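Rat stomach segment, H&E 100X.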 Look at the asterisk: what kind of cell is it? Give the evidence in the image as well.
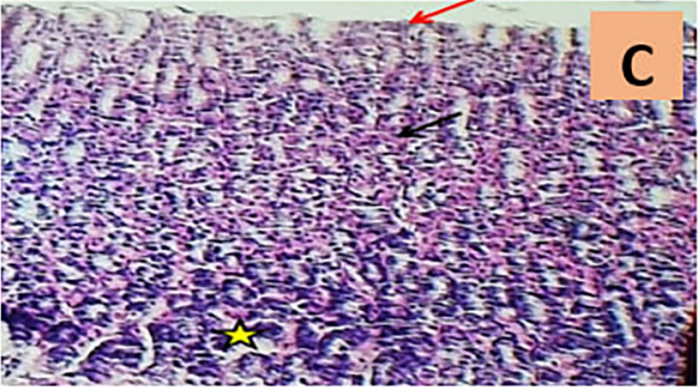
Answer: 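Chief cells. The asterisk lies in the deep part of the mucosa. The cells around it stain dark purple and are densely packed.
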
